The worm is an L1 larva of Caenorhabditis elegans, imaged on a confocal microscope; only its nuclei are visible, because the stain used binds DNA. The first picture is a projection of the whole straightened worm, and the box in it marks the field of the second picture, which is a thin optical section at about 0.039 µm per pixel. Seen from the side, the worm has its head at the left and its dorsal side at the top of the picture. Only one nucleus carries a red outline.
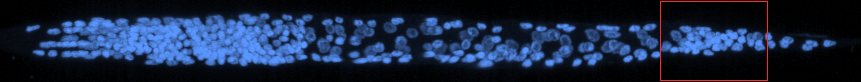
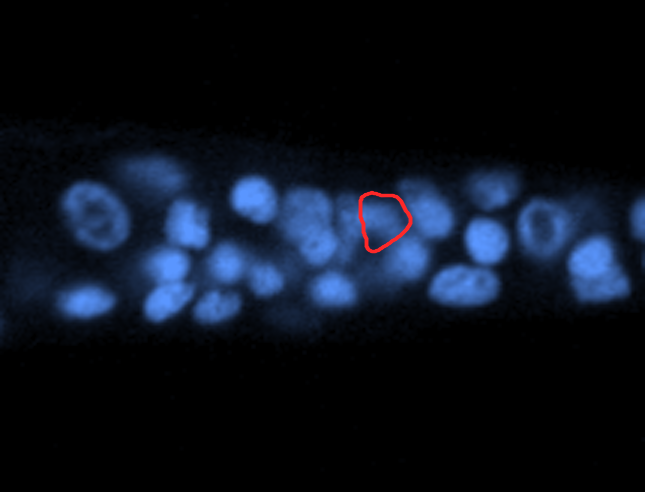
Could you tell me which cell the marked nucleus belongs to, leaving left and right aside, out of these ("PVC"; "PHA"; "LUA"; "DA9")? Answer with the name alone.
LUA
